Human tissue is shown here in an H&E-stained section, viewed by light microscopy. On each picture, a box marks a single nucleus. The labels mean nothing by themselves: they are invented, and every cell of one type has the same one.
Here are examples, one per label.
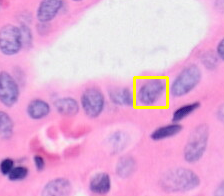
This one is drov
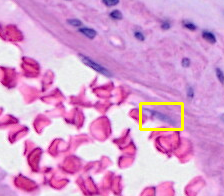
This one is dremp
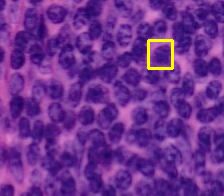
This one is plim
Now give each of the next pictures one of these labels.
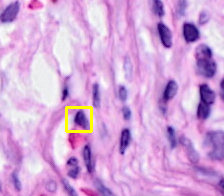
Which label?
dremp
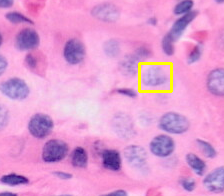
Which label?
drov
